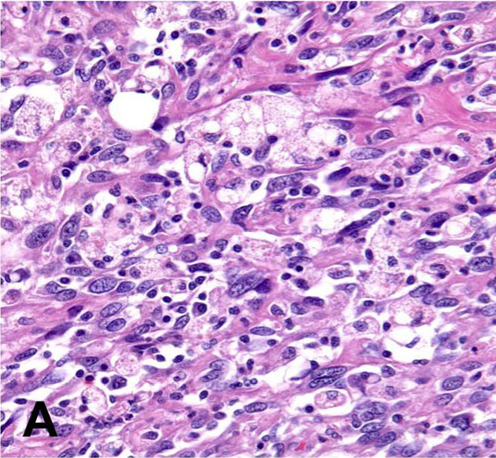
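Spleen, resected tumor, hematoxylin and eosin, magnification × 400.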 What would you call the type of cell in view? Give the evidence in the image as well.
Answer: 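Large cells with abundant pale, finely vacuolated cytoplasm. These cells are scattered among spindle cells.
Answer: histiocyte-like cells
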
